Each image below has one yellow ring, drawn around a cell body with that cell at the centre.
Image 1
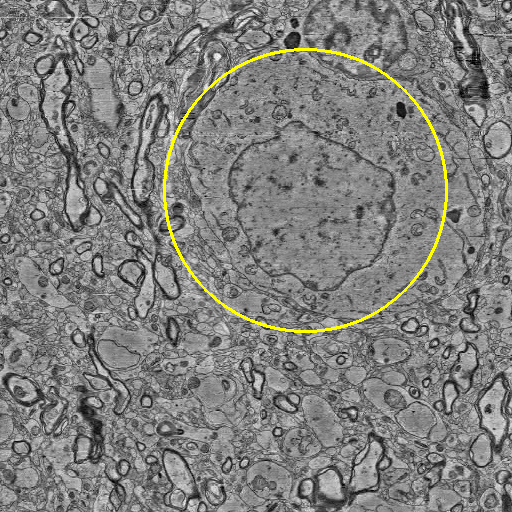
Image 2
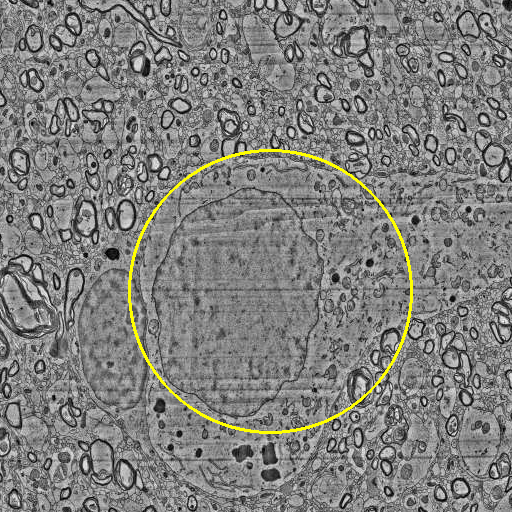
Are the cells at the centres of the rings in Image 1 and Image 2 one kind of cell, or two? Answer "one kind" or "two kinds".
one kind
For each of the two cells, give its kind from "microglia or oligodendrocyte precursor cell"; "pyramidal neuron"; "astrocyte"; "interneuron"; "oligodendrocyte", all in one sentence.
Each of the two rings surrounds a pyramidal neuron.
